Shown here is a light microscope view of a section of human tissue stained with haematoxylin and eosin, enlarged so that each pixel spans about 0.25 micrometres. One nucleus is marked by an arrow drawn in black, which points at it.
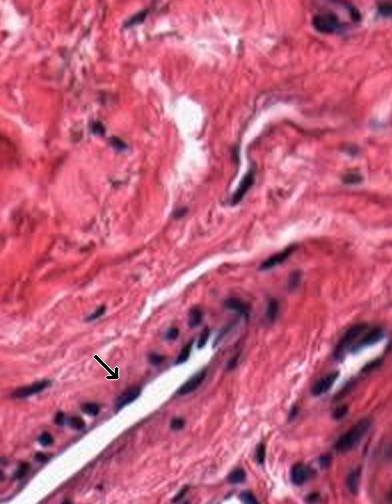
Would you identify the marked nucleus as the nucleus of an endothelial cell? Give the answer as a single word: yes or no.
yes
